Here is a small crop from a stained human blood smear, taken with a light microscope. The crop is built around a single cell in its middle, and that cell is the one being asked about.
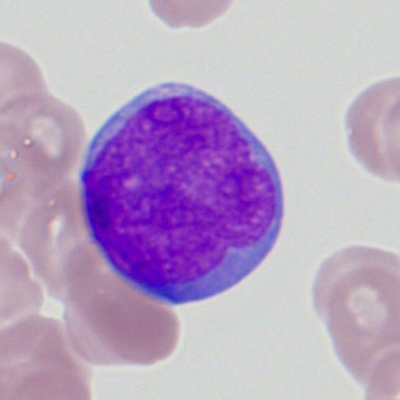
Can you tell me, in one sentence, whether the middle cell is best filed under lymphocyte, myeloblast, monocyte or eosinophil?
In the middle of this smear crop, the cell is a myeloblast.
